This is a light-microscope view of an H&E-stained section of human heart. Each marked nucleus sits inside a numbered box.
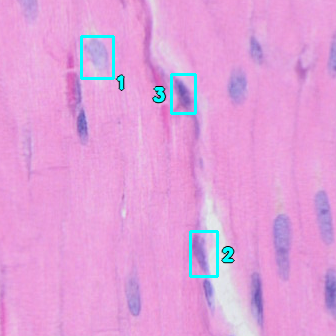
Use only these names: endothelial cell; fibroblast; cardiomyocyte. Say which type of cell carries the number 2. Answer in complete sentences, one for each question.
Corresponding to a fibroblast is the cell labelled 2.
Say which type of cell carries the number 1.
The cell identified by the number 1 is a cardiomyocyte.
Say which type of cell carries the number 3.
Number 3 among the marked cells is a fibroblast.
